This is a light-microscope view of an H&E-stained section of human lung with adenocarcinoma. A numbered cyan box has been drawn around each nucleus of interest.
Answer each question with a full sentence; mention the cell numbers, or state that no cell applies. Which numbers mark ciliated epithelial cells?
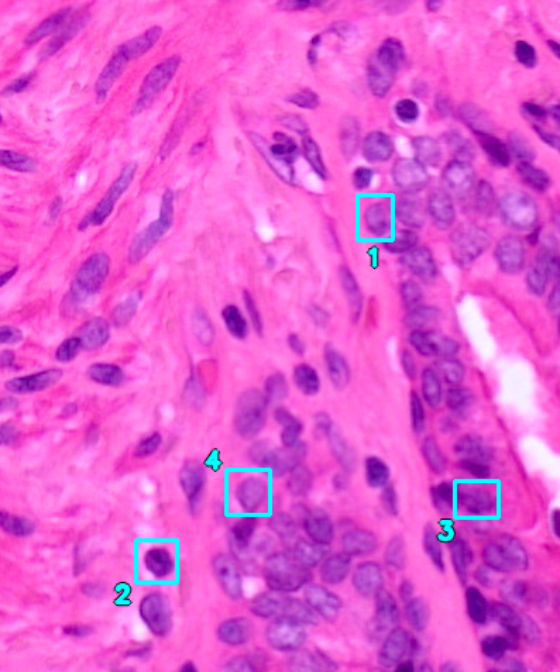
The cells numbered 1, 3 and 4 are typed as ciliated epithelial cells.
